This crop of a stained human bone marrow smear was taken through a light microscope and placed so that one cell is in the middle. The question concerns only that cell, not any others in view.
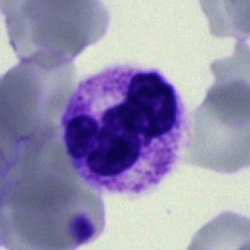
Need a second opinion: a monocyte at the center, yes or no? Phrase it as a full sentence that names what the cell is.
No, it is a segmented neutrophil, not a monocyte, that lies at the centre of the crop.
